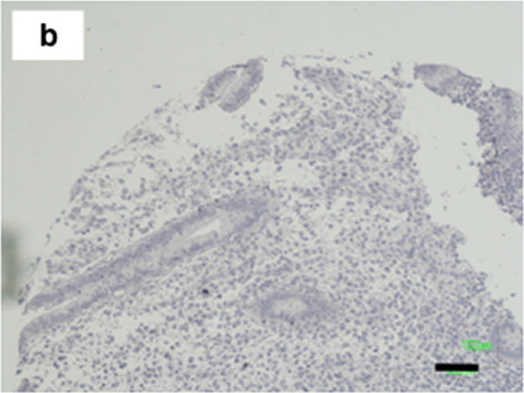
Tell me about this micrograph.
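This section of tissue shows only blue-stained nuclei on a pale background, with no brown colour anywhere. Loosely scattered cells with small nuclei fill the stroma. Several tubular structures lined by tightly packed cells with crowded nuclei run through it.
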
